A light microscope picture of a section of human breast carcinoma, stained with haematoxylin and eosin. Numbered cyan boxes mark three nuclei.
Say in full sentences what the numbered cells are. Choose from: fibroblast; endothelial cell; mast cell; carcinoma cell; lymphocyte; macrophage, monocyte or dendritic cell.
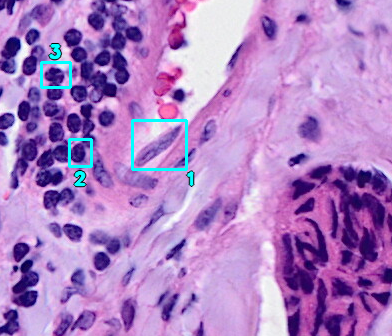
Cell 1 is an endothelial cell. Cells 2 and 3 are lymphocytes.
